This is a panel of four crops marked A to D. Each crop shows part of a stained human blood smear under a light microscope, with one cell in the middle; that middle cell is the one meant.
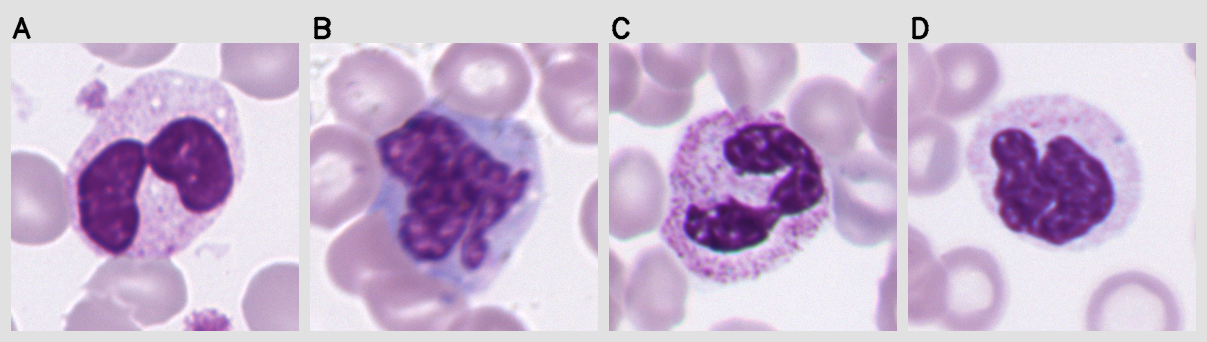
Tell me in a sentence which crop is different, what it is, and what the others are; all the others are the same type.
Among these crops, segmented neutrophils occur in all but crop B, which contains a monocyte.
